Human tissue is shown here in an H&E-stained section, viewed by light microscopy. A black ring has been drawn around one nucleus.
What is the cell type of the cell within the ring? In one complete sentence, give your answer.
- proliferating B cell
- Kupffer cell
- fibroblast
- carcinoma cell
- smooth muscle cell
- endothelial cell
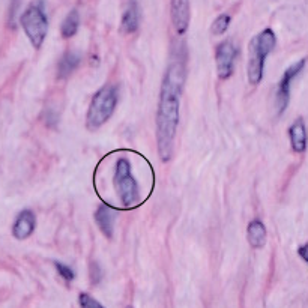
On this particular slide, the cell within the ring is a smooth muscle cell.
